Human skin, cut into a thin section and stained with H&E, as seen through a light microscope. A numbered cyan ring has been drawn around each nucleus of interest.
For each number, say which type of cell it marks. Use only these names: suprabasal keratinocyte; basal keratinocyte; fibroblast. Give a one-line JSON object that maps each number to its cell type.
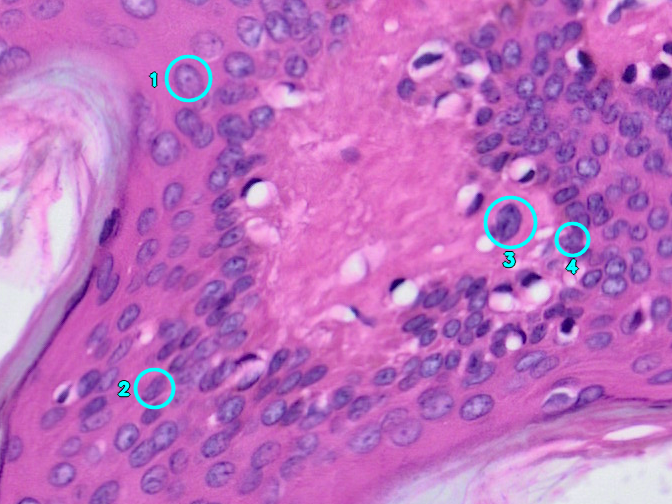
{"1": "suprabasal keratinocyte", "2": "basal keratinocyte", "3": "fibroblast", "4": "basal keratinocyte"}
